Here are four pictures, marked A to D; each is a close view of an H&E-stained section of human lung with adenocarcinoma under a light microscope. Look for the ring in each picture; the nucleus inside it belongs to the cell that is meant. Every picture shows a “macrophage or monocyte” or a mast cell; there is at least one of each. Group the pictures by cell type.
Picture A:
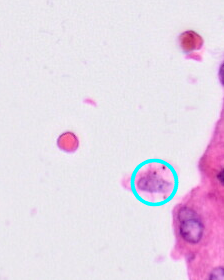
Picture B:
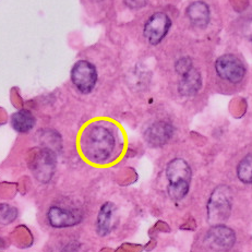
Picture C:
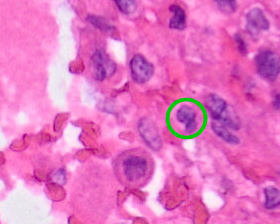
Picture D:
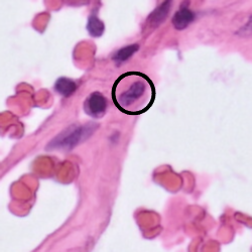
A: macrophage or monocyte
B: macrophage or monocyte
C: macrophage or monocyte
D: mast cell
